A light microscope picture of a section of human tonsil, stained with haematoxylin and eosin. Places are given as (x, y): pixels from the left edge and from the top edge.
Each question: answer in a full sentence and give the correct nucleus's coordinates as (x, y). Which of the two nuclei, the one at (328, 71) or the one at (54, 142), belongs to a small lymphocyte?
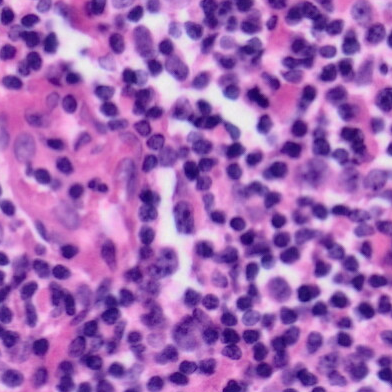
The nucleus of a small lymphocyte is the one at (328, 71).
